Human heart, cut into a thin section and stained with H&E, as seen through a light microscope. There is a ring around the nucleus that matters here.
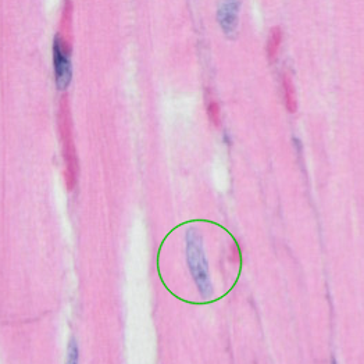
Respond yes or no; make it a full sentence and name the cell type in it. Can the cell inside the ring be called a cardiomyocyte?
Yes, the cell inside the ring is a cardiomyocyte in this section.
